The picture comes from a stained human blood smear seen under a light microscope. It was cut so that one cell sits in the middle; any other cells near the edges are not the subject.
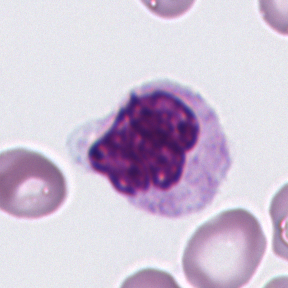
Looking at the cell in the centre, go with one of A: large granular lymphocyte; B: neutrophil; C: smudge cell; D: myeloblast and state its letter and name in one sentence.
With the cell in the middle being a neutrophil, option B is the correct choice.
